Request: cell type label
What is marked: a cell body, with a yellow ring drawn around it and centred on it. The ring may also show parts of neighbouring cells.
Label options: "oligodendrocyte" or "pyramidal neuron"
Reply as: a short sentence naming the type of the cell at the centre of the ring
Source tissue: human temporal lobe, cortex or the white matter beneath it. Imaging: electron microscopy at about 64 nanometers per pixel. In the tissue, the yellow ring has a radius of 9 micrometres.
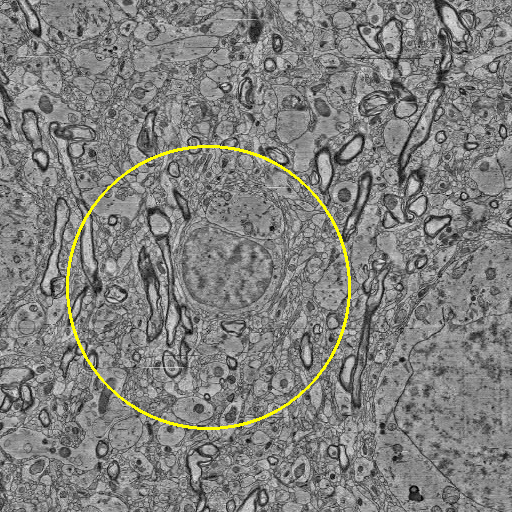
The marked cell body is that of an oligodendrocyte.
